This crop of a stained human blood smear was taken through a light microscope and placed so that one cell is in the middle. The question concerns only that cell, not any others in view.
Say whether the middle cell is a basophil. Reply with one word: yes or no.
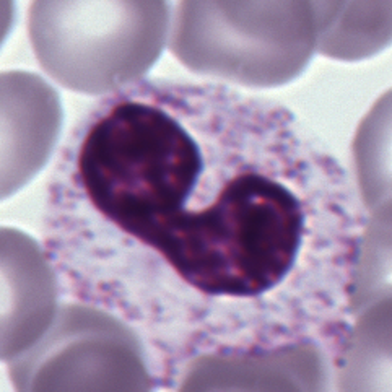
no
